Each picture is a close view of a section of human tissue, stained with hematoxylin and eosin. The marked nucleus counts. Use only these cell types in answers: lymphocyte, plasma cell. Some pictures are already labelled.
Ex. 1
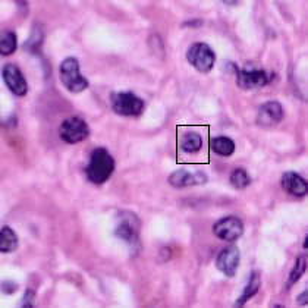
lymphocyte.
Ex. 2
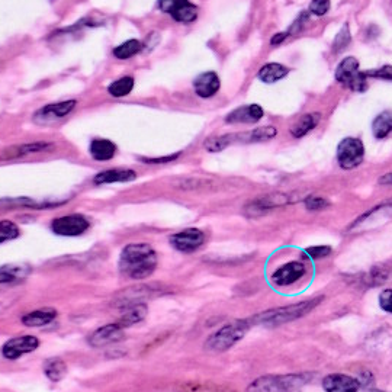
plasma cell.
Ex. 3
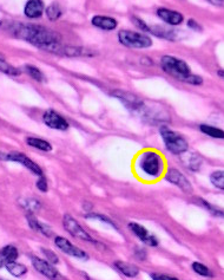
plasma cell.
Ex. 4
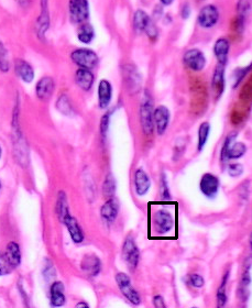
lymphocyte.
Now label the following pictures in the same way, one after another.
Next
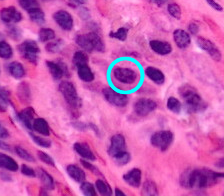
plasma cell.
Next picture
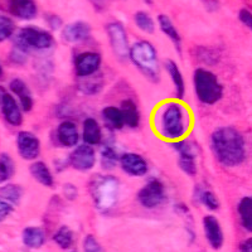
lymphocyte.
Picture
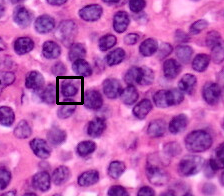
lymphocyte.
